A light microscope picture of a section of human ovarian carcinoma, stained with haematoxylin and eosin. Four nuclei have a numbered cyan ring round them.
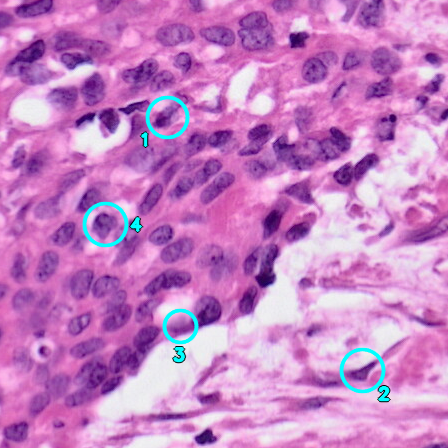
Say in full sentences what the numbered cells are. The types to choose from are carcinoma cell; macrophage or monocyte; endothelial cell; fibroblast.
Cells 1 and 3 are carcinoma cells. Cell 2 is a fibroblast. Cell 4 is a macrophage or monocyte.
